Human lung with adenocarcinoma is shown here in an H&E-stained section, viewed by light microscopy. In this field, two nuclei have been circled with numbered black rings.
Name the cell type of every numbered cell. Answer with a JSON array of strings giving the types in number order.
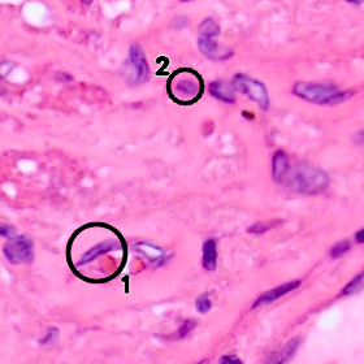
["endothelial cell", "mast cell"]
